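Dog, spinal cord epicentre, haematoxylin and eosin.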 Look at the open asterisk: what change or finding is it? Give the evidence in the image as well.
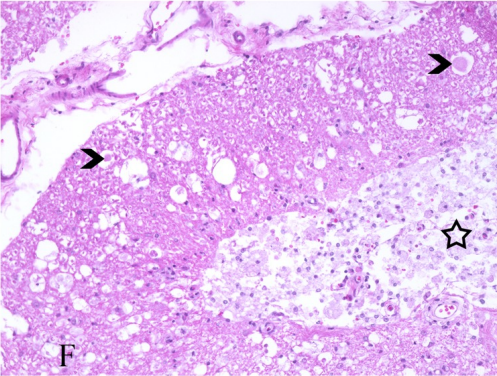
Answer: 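Severe malacia with gitter cell infiltration. The area under the open asterisk is pale and loosened. It is filled with scattered rounded cells with pale cytoplasm.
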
